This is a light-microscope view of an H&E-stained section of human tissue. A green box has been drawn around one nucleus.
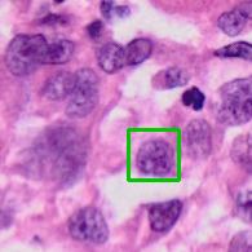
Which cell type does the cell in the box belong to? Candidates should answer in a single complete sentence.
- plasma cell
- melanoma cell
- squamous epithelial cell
Typologically, the cell in the box is a melanoma cell in this section.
